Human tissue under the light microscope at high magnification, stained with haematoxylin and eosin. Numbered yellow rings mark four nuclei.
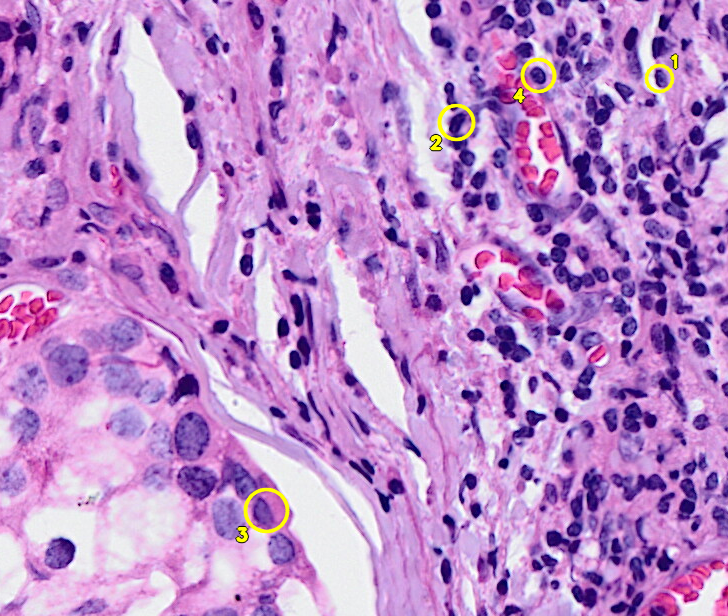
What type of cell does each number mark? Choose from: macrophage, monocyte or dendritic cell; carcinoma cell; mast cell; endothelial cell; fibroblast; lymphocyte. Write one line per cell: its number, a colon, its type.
1: lymphocyte
2: lymphocyte
3: carcinoma cell
4: lymphocyte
